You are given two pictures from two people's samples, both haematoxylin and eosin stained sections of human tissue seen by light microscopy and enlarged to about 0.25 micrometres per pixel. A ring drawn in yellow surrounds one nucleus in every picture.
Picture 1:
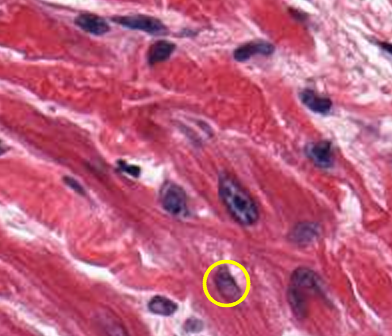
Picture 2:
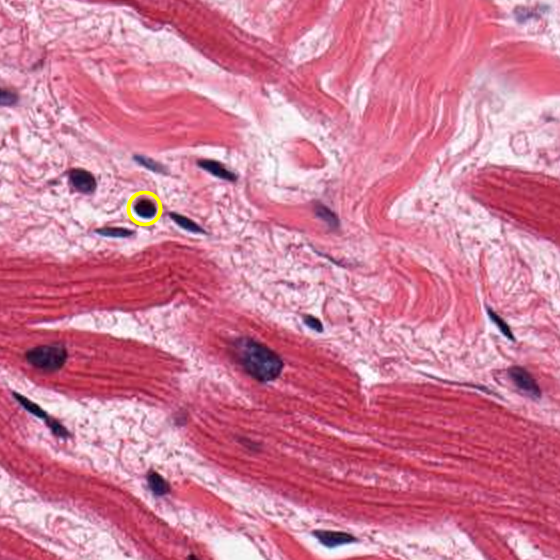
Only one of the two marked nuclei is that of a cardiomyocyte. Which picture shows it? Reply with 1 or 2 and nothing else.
1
